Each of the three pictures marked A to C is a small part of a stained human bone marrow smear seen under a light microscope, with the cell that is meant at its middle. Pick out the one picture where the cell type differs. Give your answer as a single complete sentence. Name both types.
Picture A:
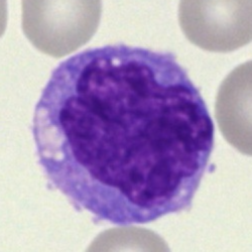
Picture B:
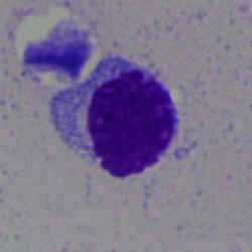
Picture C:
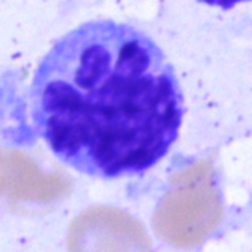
All pictures except B show monocytes; picture B shows a lymphocyte.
